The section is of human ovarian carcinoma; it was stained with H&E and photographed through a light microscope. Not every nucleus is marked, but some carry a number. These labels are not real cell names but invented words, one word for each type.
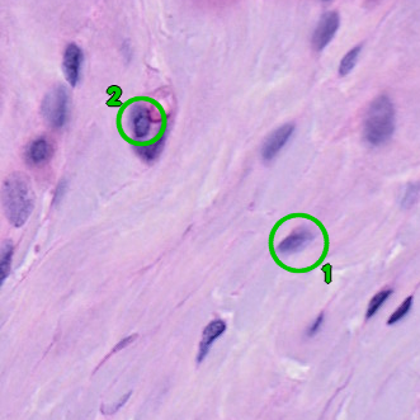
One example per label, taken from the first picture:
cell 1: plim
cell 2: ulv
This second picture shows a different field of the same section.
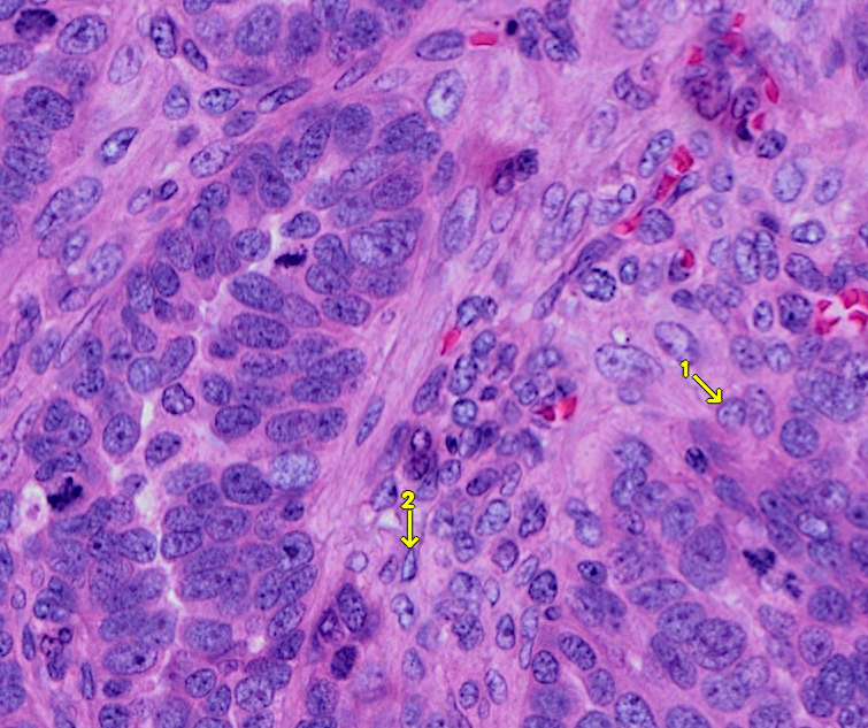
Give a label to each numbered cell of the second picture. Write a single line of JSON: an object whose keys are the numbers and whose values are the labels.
{"1": "ulv", "2": "plim"}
